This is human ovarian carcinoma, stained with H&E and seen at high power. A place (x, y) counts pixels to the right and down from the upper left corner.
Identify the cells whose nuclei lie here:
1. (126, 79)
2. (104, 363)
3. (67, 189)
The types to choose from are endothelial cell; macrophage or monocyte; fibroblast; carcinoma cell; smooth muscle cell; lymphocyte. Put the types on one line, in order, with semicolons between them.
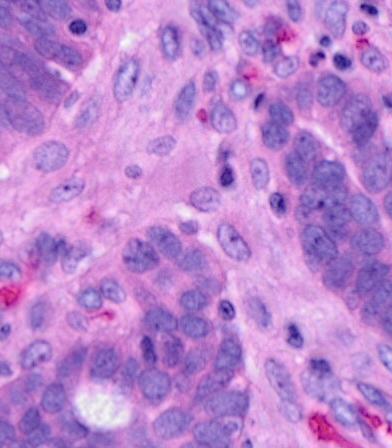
fibroblast; carcinoma cell; fibroblast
